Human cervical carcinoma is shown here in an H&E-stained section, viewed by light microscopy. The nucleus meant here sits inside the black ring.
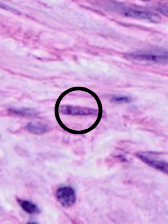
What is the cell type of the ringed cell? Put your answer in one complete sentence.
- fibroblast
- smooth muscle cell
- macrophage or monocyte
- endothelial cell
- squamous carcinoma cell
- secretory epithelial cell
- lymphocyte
Just put down that the ringed cell is a fibroblast.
